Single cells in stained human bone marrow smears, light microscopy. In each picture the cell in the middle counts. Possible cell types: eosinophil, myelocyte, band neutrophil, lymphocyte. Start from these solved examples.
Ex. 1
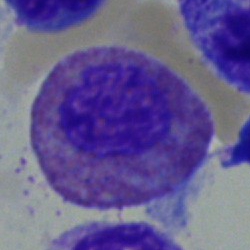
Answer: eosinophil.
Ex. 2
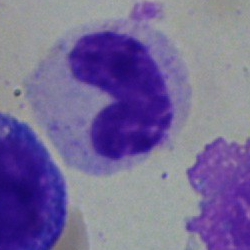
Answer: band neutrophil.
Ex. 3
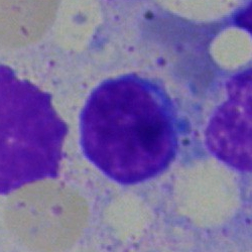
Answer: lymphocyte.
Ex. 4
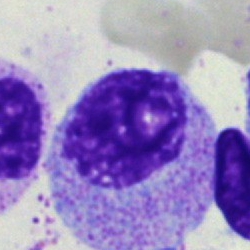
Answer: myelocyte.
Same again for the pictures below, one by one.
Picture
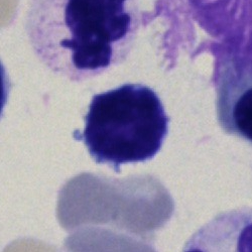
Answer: lymphocyte.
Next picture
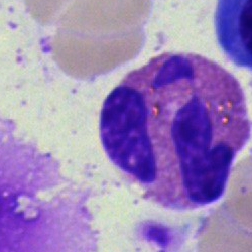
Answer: eosinophil.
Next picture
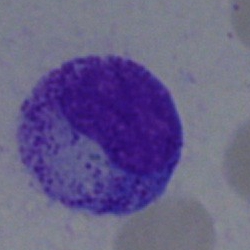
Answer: myelocyte.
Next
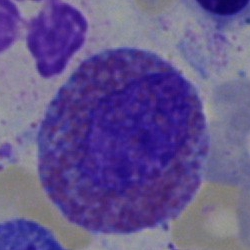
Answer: eosinophil.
